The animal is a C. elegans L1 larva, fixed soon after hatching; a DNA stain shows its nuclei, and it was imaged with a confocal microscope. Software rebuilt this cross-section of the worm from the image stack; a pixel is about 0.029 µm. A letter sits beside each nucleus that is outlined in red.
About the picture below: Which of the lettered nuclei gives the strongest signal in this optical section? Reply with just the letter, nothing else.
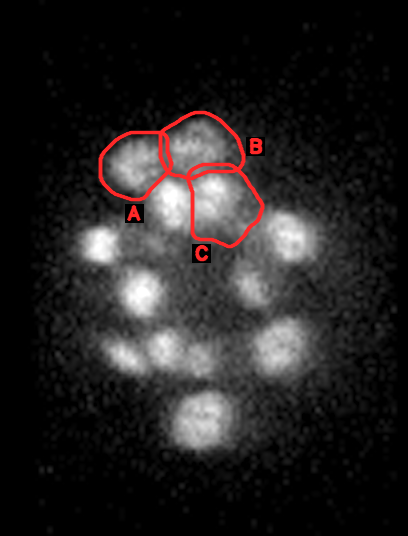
C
